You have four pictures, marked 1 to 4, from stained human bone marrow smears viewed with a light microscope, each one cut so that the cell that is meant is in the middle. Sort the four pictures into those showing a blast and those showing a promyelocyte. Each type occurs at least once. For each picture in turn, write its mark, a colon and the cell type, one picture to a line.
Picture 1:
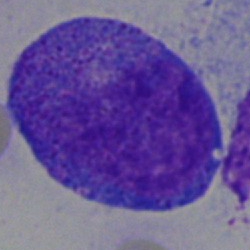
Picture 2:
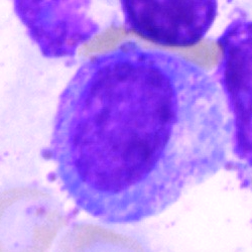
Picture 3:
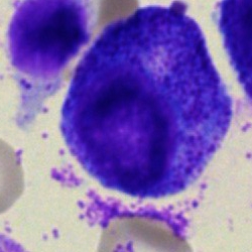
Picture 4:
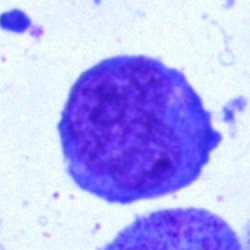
1: promyelocyte
2: promyelocyte
3: promyelocyte
4: blast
